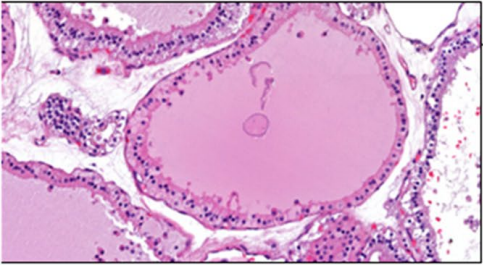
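This is thyroid tissue made of follicles of varying size, dominated by one very large follicle. The large follicle is filled with pale pink, homogeneous colloid containing a few small folded fragments. Thin strands of pale connective tissue separate the follicle from neighbouring distended follicles that are also filled with colloid. A small cluster of cells with dark nuclei lies in the stroma at the left.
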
